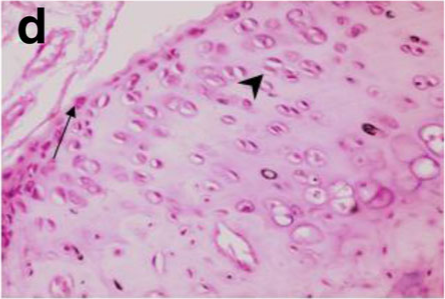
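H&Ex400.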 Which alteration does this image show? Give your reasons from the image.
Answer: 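Many cells lie in pairs and small groups within shared pale spaces. The answer: clustering of chondrocytes.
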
